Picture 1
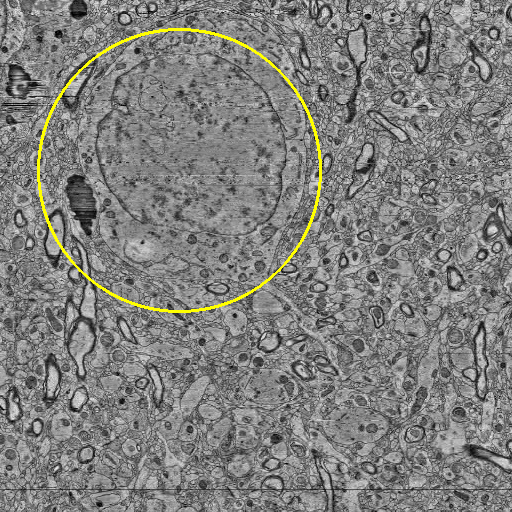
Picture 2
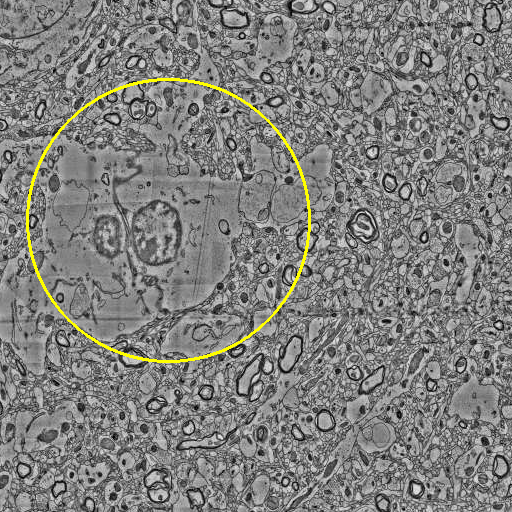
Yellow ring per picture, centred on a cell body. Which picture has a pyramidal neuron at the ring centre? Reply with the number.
1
